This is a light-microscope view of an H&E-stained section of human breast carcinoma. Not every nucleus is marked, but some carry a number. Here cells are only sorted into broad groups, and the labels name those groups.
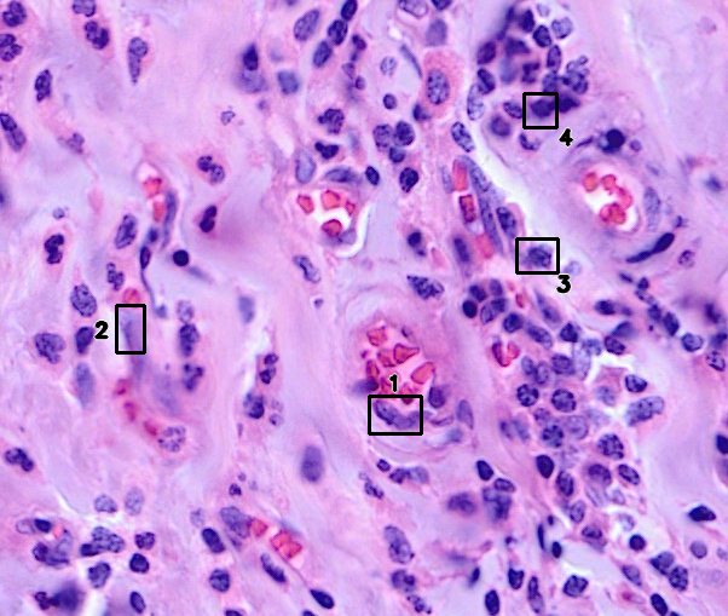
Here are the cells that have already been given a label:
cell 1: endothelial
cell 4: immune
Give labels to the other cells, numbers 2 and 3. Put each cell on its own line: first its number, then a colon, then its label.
2: endothelial
3: immune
